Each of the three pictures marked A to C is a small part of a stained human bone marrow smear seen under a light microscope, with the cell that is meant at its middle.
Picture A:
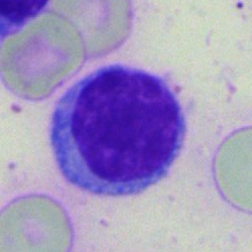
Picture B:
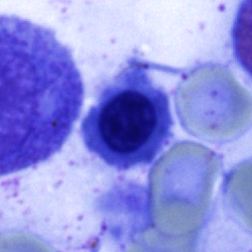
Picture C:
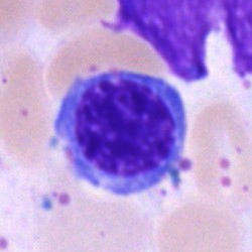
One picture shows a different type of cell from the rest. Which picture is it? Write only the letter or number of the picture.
A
